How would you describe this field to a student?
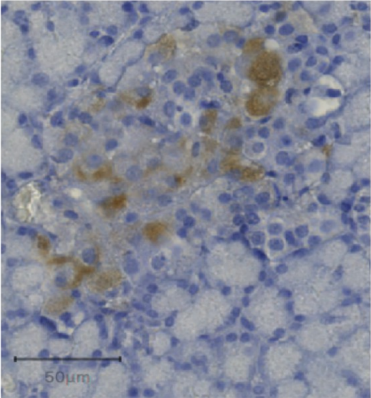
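A pancreatic islet occupies much of the field, a pale cluster of small cells with round blue nuclei, many carrying patchy brown cytoplasmic staining. It is surrounded by exocrine acini whose cells have pale granular cytoplasm and blue nuclei and show no brown stain.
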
